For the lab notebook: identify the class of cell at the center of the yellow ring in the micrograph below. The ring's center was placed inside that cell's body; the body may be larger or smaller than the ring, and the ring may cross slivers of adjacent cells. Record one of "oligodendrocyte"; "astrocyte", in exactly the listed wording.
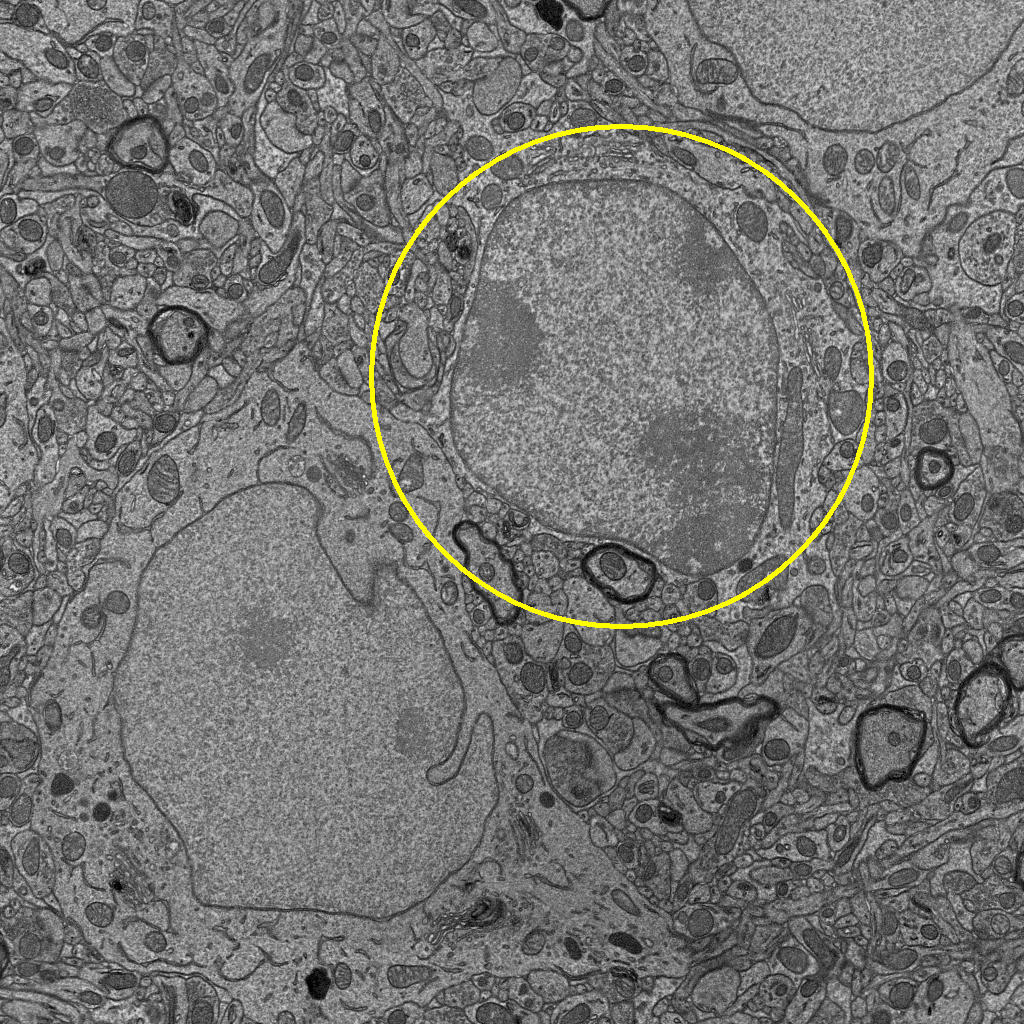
astrocyte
